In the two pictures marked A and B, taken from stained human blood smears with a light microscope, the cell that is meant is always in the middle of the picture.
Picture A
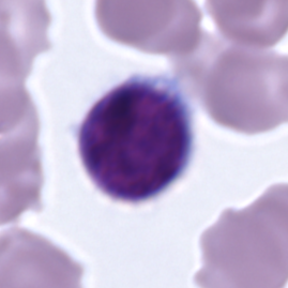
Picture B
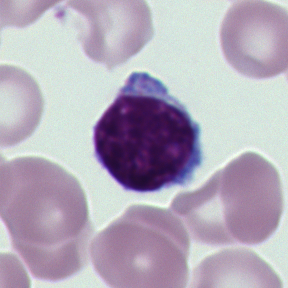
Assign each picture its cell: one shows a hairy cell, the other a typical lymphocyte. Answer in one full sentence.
Picture A is of a hairy cell, and picture B is of a typical lymphocyte.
